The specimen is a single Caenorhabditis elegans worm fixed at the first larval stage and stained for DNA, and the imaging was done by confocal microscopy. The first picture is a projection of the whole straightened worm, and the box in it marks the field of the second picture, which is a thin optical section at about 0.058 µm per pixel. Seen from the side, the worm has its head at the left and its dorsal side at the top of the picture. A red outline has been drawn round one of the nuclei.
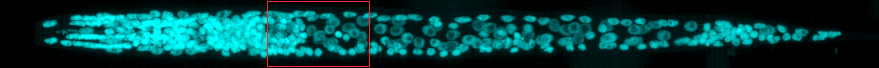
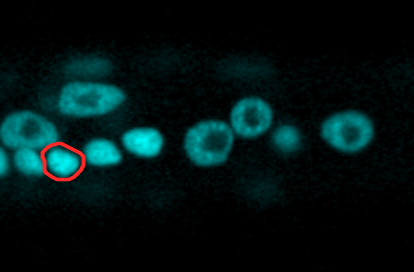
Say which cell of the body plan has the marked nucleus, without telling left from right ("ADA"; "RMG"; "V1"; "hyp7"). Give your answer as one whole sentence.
The marked cell is ADA, a neuron.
